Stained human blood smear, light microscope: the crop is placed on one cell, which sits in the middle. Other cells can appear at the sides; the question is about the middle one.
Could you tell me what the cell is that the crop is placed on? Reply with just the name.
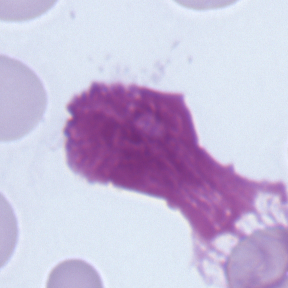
smudge cell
